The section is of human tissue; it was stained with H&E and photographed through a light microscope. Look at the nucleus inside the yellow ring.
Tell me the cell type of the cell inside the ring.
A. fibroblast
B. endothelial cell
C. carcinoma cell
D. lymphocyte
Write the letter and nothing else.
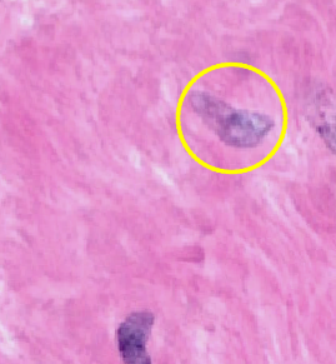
A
